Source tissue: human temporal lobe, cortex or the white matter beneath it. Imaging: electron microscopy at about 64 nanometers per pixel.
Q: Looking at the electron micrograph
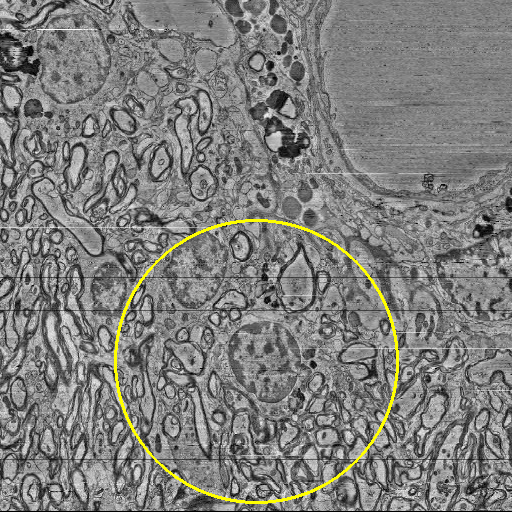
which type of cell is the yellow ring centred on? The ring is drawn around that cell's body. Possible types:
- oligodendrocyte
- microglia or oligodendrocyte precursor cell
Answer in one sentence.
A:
The yellow ring is centred on a microglial cell or oligodendrocyte precursor cell.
